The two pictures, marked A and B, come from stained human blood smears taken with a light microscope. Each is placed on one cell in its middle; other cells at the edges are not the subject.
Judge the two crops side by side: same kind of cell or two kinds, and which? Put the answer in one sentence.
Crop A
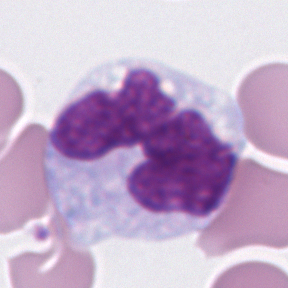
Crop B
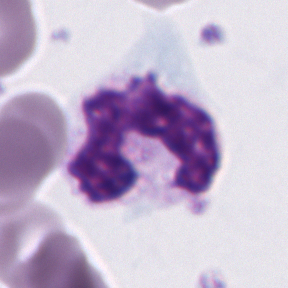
No, while a monocyte is found in crop A, a segmented neutrophil is found in crop B.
